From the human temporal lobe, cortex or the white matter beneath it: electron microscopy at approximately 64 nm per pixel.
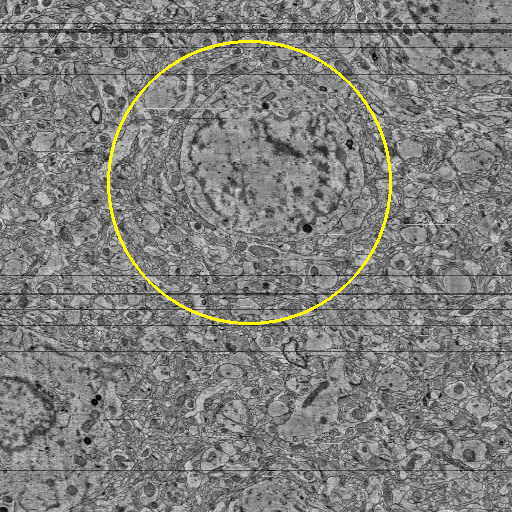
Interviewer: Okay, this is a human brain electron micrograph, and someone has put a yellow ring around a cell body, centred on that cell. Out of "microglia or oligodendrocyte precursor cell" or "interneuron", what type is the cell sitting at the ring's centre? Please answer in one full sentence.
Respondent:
The cell at the centre of the yellow ring in this picture is an interneuron.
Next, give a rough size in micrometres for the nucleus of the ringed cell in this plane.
The ringed cell's nucleus measures approximately 10 by 9 micrometres in this plane.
